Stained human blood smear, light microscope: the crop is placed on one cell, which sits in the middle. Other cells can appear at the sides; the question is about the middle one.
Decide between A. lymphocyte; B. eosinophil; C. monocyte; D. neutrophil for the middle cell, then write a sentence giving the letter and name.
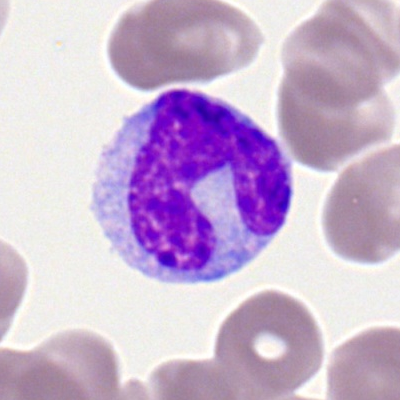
Answer key: option C, the middle cell being a monocyte.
